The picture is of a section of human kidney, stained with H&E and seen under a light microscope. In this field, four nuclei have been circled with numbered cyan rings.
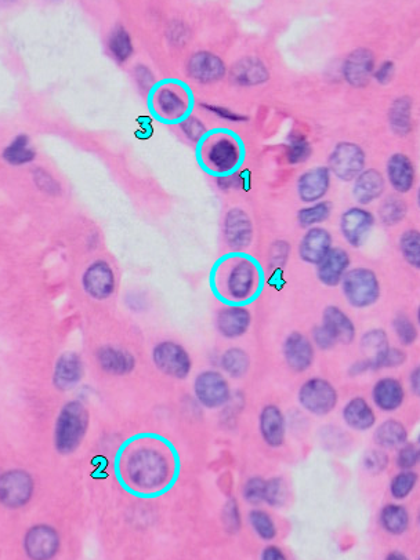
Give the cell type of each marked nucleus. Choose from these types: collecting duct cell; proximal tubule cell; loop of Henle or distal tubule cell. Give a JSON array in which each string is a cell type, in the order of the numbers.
["collecting duct cell", "proximal tubule cell", "collecting duct cell", "collecting duct cell"]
